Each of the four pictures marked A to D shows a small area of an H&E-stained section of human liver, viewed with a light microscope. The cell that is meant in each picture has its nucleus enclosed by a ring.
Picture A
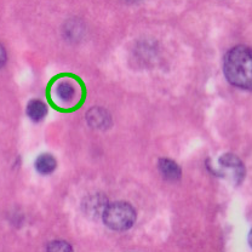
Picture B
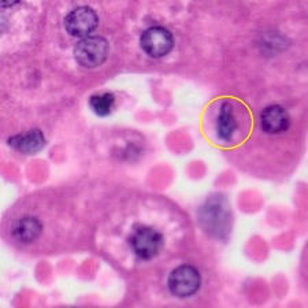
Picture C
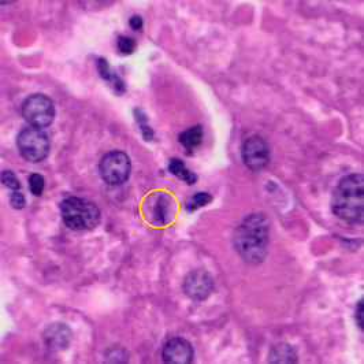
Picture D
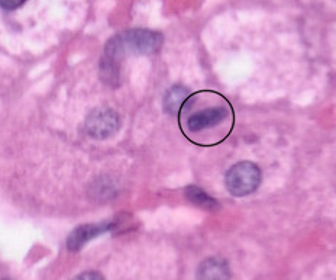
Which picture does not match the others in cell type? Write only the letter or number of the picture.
A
